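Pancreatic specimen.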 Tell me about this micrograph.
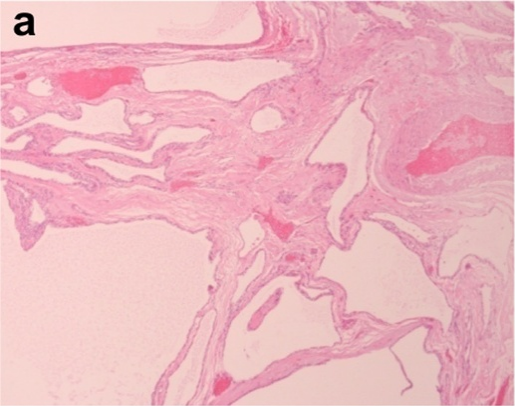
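At low power this tissue is made up of many cysts, some small and some large, separated by thin pink fibrous septa. The septa branch and meet one another, and in places they hold pink material or small blood vessels.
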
